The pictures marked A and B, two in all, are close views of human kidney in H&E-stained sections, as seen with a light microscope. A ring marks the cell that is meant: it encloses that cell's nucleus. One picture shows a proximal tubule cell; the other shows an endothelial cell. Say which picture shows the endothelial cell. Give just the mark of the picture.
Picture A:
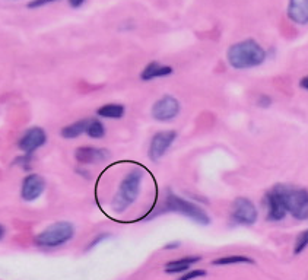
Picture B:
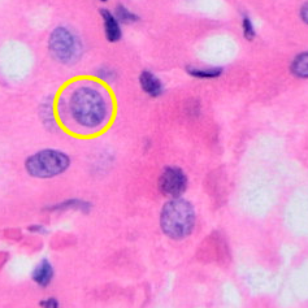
A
